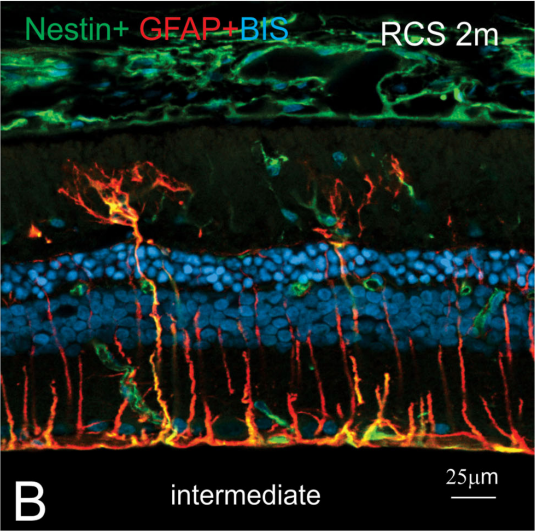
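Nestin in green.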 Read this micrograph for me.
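This is a vertical section through a degenerating retina, and the red and yellow fibres are the radial glial cells, the Müller cells. Each runs as a long thin stalk from the inner surface at the bottom, where it broadens into an endfoot, up through the blue bands of packed nuclei. At the top several of them do not stop at the outer edge of the nuclear layer but branch into tufts that reach into the dark space beneath the overlying tissue.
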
